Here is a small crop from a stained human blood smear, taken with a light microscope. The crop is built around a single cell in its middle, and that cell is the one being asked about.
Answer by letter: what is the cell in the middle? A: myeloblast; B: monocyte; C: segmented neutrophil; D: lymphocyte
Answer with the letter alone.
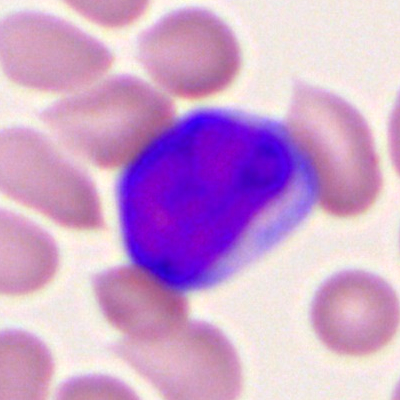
A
